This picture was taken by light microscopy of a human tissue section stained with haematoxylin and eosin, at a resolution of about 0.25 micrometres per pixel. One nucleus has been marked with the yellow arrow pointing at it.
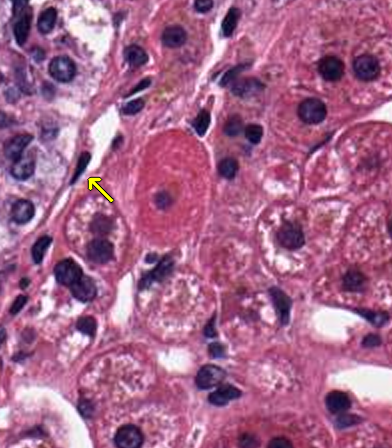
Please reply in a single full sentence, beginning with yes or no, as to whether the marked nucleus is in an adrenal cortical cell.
No, the marked nucleus belongs to a supporting cell, not to an adrenal cortical cell.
